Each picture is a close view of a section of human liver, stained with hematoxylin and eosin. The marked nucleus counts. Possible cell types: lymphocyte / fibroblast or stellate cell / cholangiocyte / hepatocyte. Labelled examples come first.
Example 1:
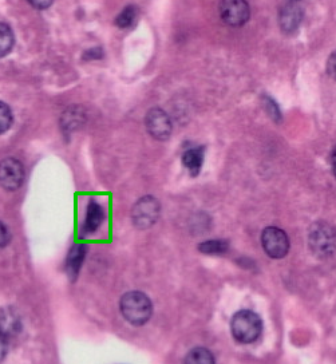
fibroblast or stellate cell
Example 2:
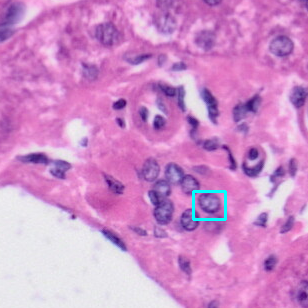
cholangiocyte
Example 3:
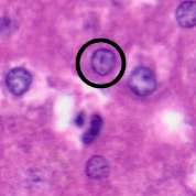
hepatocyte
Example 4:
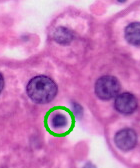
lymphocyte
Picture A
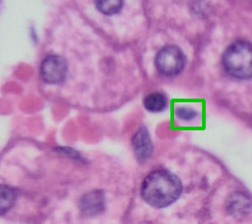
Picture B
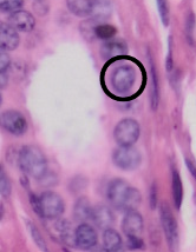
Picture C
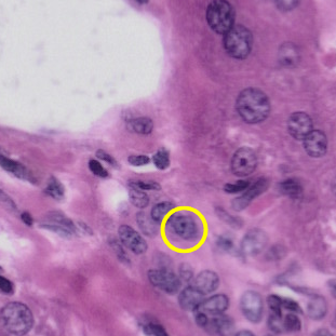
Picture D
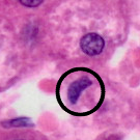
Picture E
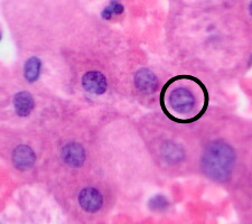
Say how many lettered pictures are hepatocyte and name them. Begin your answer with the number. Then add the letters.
1: E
